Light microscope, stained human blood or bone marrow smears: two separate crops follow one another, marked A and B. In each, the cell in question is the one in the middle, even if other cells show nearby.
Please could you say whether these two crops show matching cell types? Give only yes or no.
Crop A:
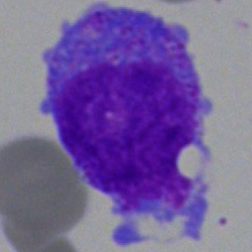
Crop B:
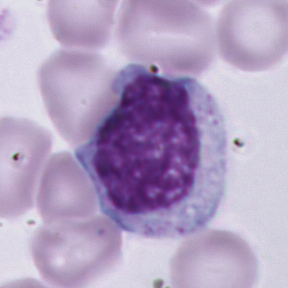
no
